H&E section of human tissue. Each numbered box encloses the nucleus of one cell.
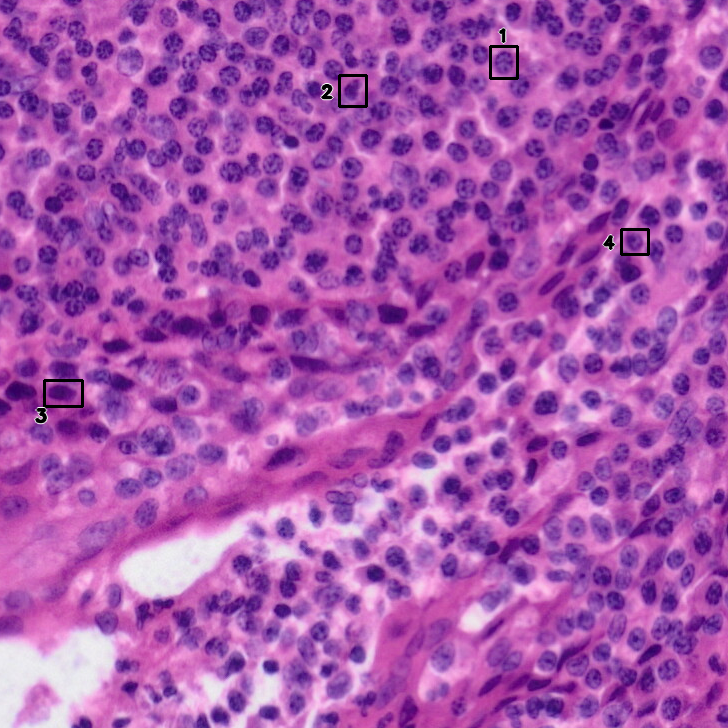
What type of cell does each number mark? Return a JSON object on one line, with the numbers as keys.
{"1": "plasma cell", "2": "plasma cell", "3": "squamous epithelial cell", "4": "plasma cell"}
